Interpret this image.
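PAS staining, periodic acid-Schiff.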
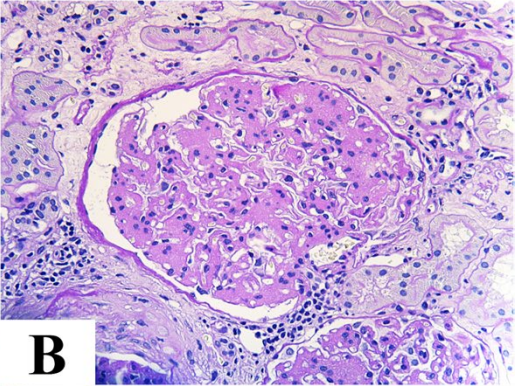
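A large glomerulus stained magenta shows a hypercellular, lobulated tuft with widened magenta matrix between the capillary loops. The capsule is outlined by a dark magenta line, with a clear crescent-shaped space between it and the tuft on the left. Tubules with magenta brush borders and basement membranes surround it, and a small cluster of dark round nuclei lies in the interstitium below.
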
